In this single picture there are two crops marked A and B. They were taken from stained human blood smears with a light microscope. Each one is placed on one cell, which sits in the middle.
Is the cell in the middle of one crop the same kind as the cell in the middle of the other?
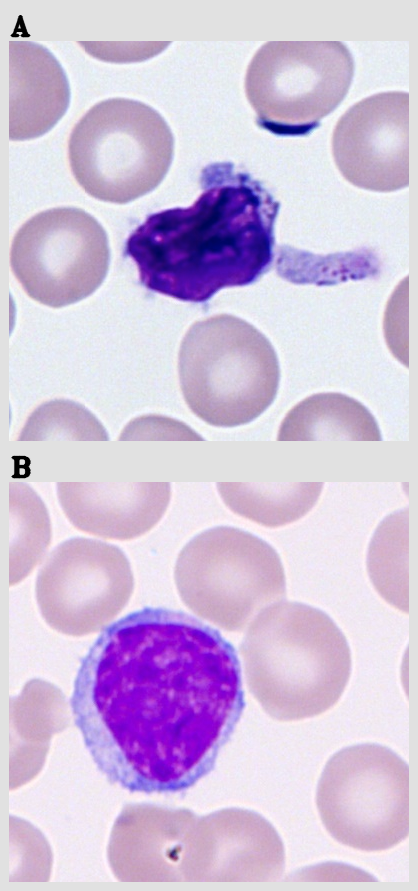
yes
